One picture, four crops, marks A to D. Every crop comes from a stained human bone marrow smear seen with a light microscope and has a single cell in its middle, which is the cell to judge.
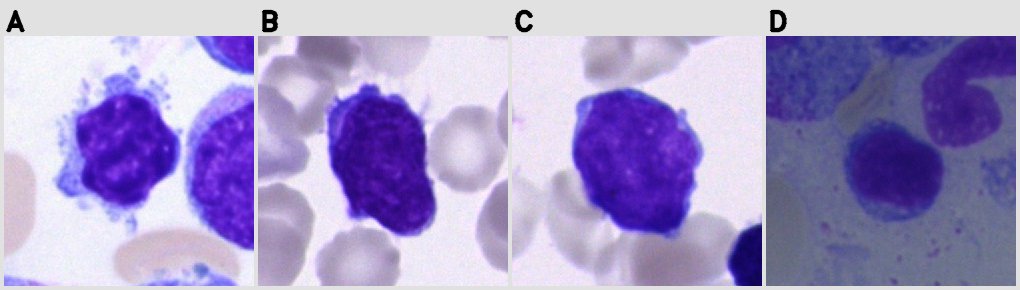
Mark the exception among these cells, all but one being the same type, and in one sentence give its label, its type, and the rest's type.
Of the crops, all show lymphocytes save crop C, which shows a blast.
